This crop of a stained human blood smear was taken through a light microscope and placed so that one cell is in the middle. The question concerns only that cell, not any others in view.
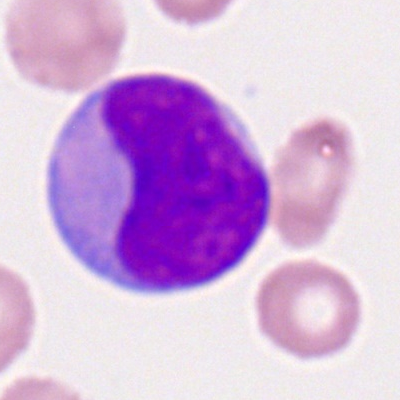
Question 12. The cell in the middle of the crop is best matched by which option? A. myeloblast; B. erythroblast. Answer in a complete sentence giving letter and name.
Option A is accurate; the centrally placed cell is a myeloblast.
